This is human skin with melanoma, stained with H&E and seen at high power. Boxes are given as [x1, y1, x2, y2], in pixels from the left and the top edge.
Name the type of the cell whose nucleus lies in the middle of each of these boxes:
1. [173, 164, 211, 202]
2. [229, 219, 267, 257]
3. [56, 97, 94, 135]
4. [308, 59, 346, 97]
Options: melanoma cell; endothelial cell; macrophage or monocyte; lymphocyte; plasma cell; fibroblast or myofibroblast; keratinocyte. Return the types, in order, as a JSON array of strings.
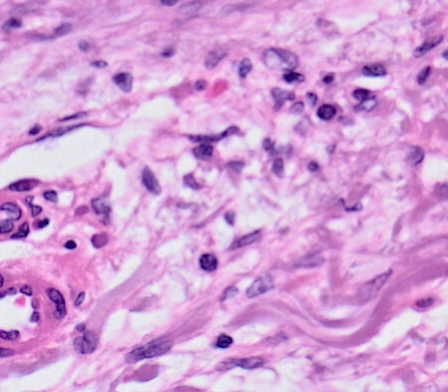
["fibroblast or myofibroblast", "fibroblast or myofibroblast", "fibroblast or myofibroblast", "plasma cell"]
